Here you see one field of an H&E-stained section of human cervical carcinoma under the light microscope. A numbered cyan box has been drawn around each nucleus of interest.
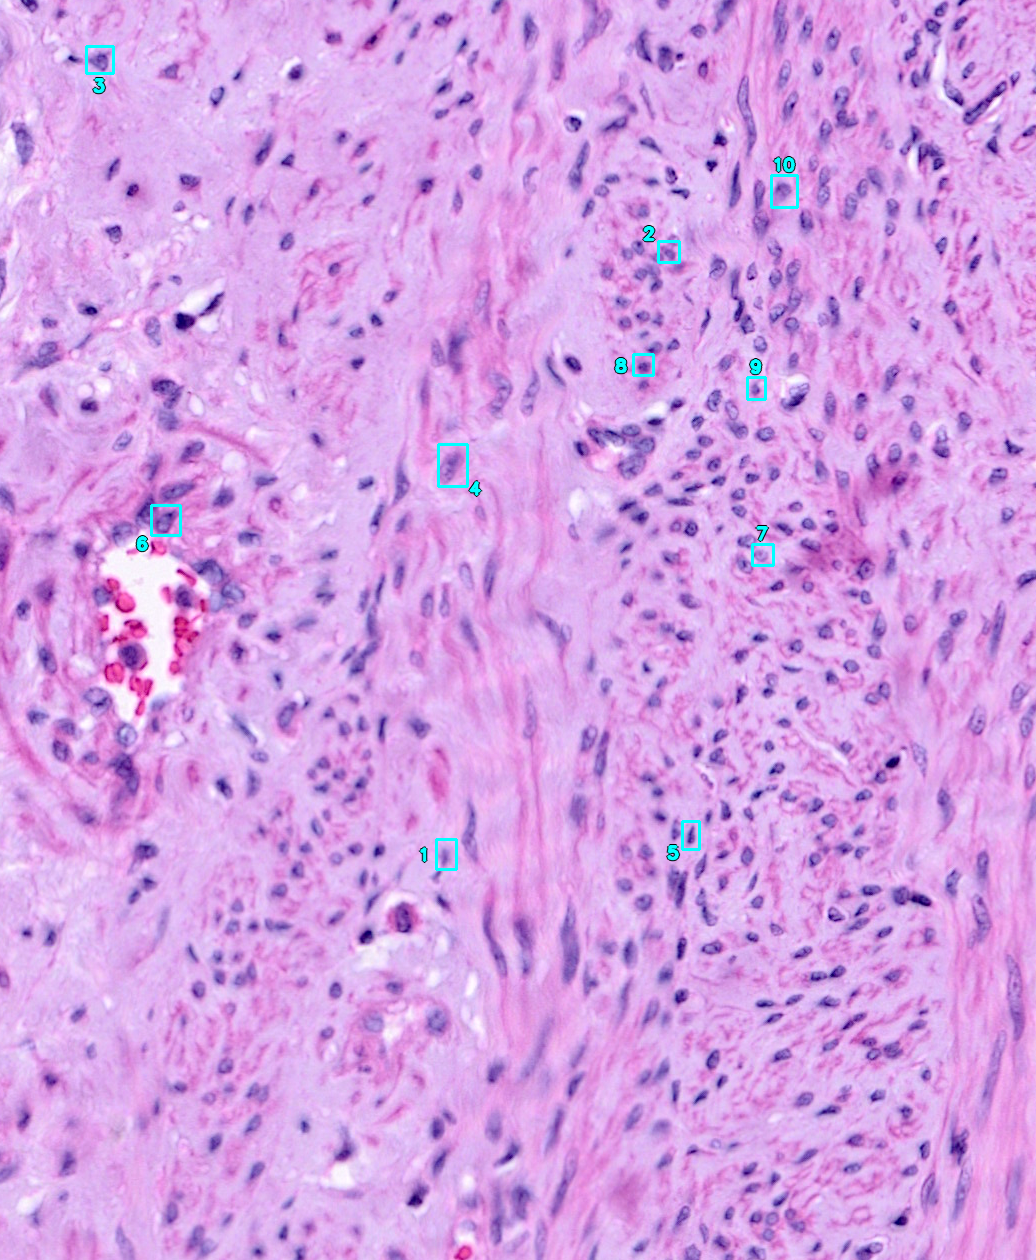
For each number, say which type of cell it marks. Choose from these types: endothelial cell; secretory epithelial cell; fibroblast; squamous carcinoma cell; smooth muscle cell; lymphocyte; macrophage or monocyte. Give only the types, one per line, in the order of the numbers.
fibroblast
smooth muscle cell
fibroblast
smooth muscle cell
fibroblast
endothelial cell
smooth muscle cell
smooth muscle cell
smooth muscle cell
smooth muscle cell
